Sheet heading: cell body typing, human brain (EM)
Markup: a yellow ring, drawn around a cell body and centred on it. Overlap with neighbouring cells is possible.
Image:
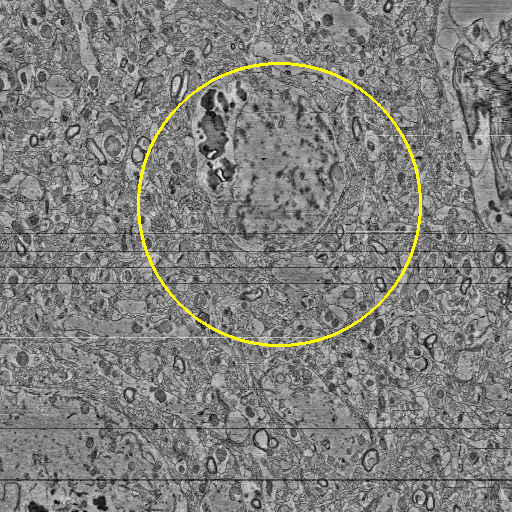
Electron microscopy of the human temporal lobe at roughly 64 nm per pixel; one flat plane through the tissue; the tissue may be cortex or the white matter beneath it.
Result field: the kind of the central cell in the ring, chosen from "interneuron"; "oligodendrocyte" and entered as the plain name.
interneuron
